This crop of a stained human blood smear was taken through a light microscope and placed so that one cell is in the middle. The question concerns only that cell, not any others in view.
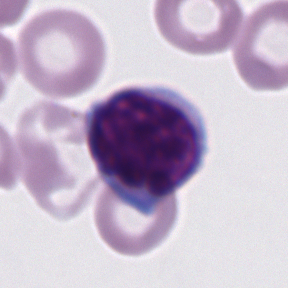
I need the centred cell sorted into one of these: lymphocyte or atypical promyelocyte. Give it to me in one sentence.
The central element of this crop is a cell, namely a lymphocyte.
